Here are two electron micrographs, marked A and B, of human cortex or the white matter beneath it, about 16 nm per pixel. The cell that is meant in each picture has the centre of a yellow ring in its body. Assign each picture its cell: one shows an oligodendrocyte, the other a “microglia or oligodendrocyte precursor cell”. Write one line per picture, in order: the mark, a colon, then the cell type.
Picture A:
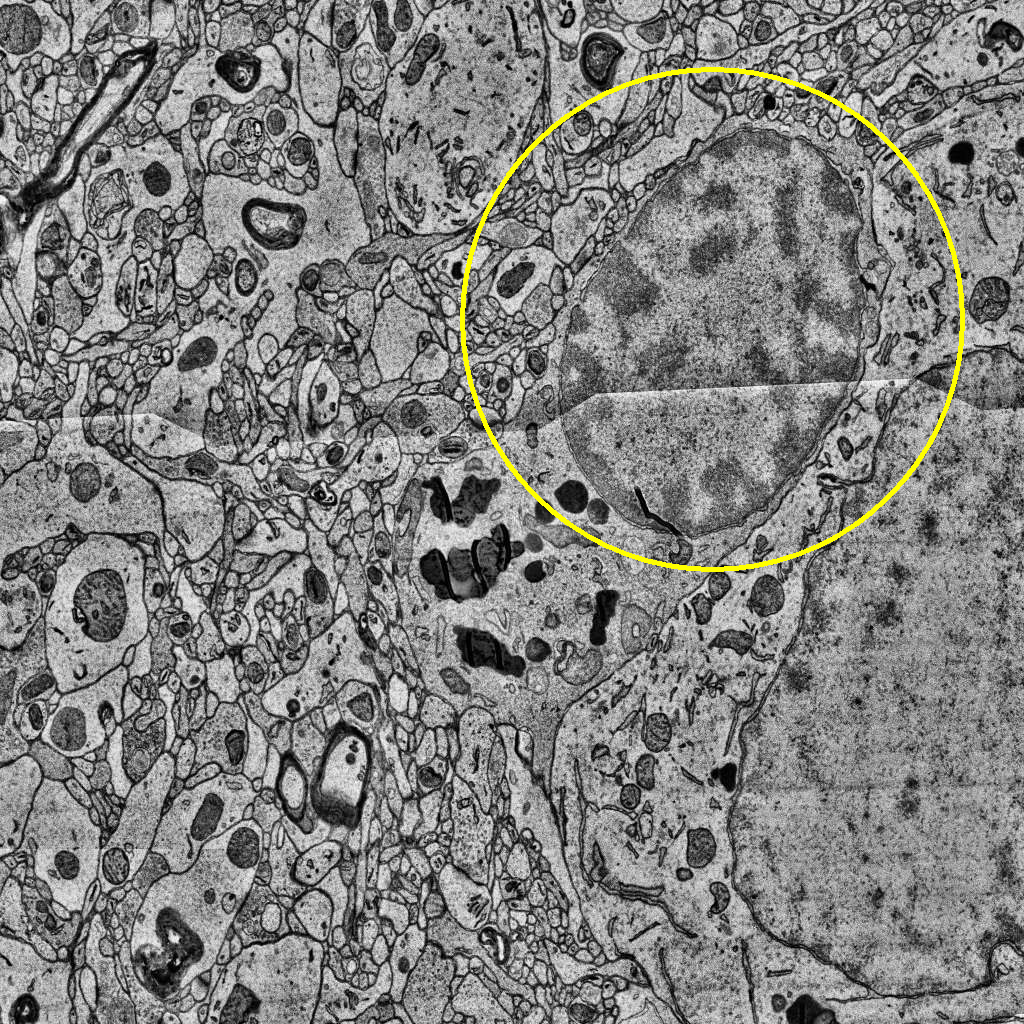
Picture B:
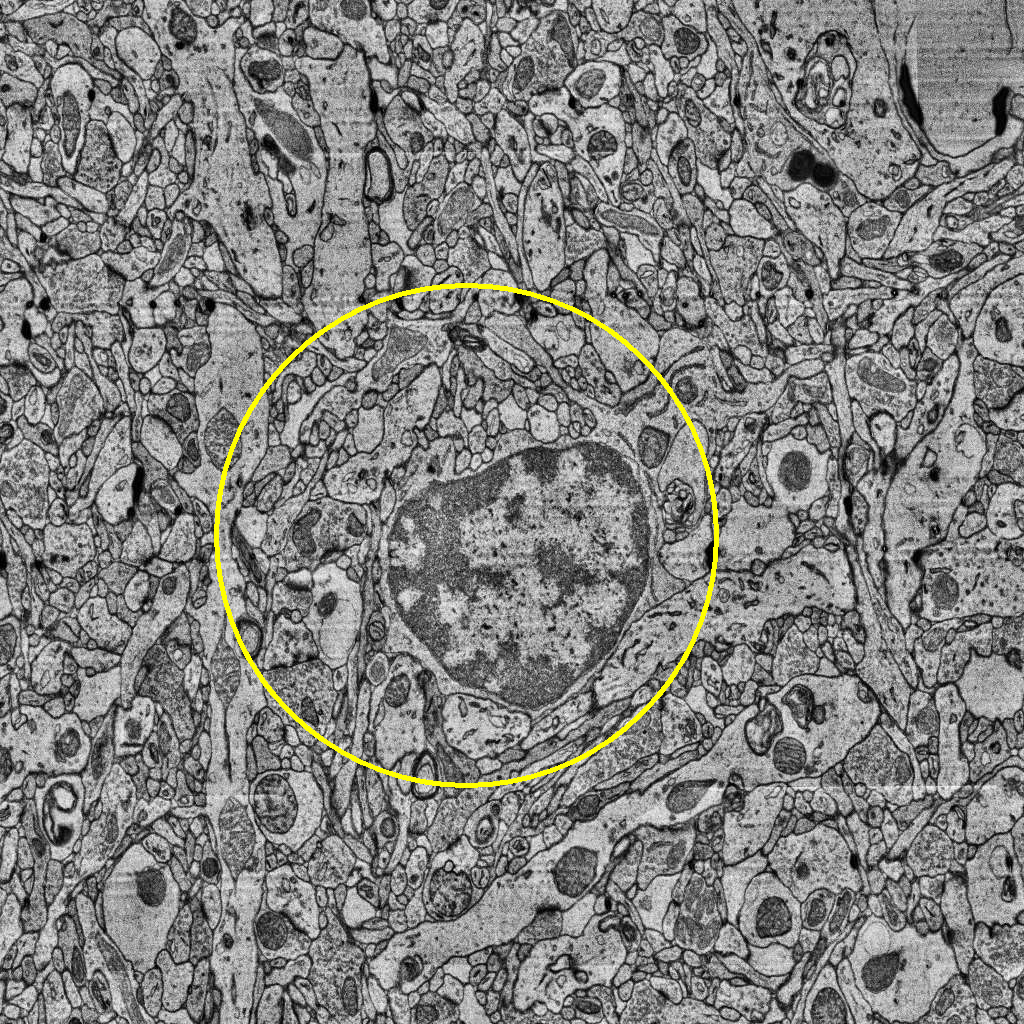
A: oligodendrocyte
B: microglia or oligodendrocyte precursor cell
